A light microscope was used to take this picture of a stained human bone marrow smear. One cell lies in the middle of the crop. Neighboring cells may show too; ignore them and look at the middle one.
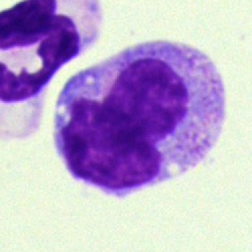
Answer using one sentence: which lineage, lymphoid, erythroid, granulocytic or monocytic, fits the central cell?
Lineage designation for the cell in the middle reads monocytic.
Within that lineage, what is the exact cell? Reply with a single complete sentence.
The cell sitting right in the middle is a monocyte.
